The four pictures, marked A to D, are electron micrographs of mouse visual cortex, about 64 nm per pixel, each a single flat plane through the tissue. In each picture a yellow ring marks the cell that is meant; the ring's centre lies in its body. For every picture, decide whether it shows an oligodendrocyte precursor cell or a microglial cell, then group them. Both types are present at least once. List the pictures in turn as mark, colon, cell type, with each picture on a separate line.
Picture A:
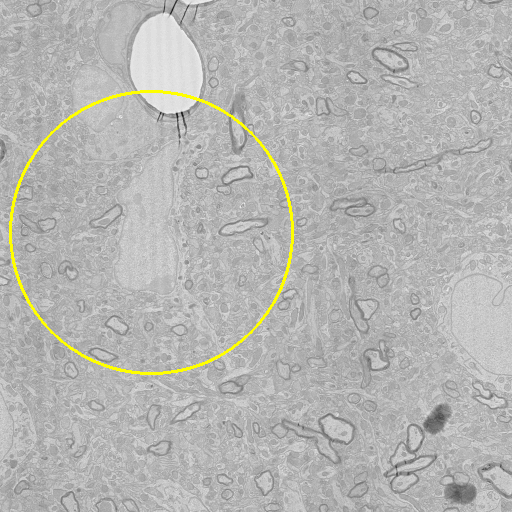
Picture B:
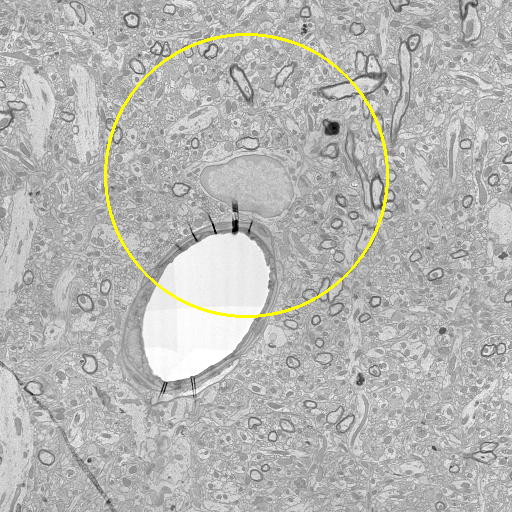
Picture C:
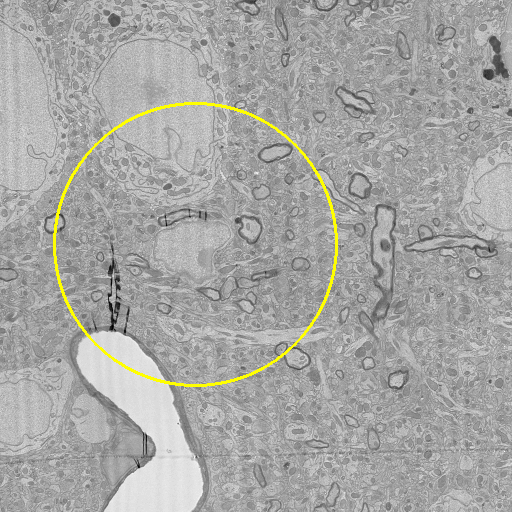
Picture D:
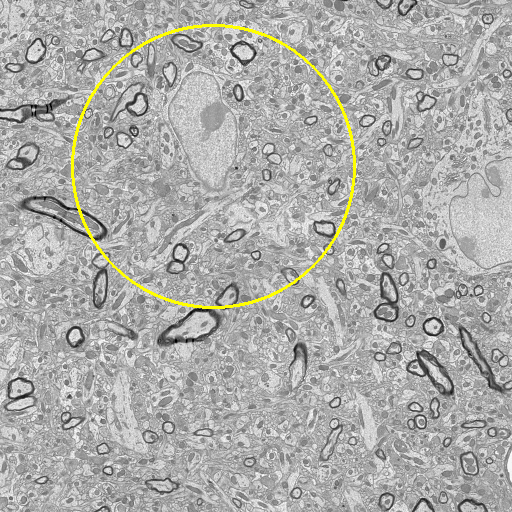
A: oligodendrocyte precursor cell
B: microglial cell
C: oligodendrocyte precursor cell
D: oligodendrocyte precursor cell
